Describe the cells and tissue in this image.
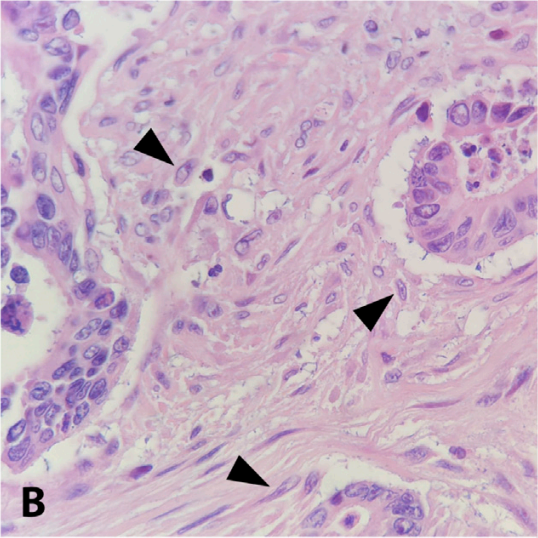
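Irregular tumour glands lined by crowded columnar cells with large, oval, vesicular nuclei sit in a pale pink fibrous stroma. Within the stroma lie scattered spindle-shaped cells with elongated, somewhat enlarged nuclei, some with a faintly purplish cytoplasm, the look of activated fibroblasts between adenocarcinoma glands.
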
